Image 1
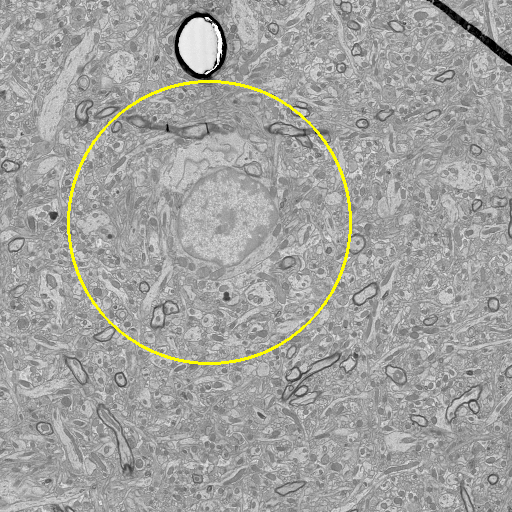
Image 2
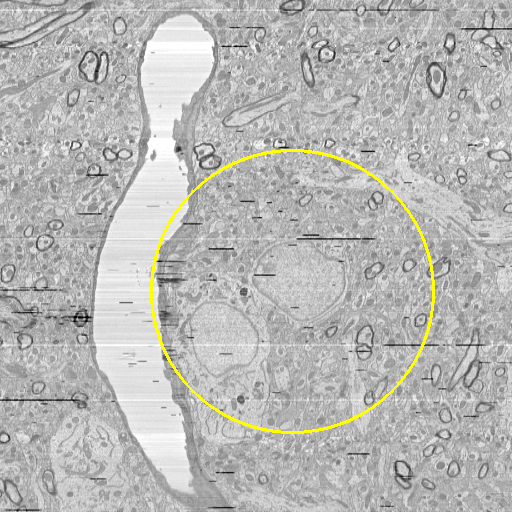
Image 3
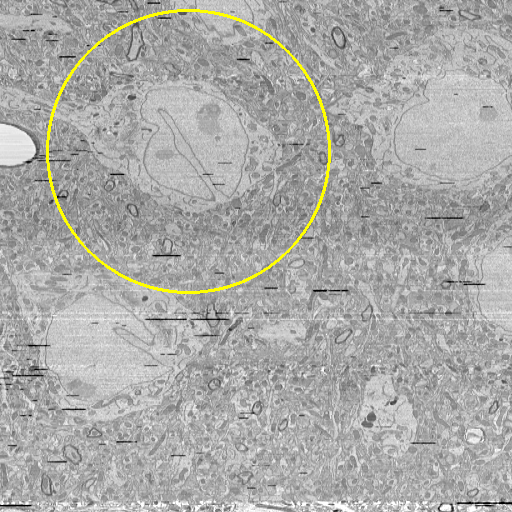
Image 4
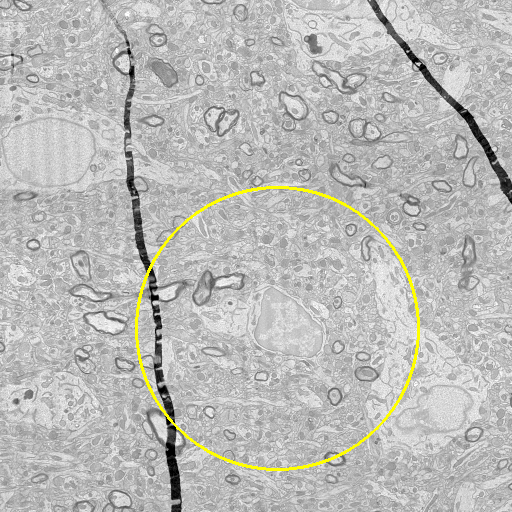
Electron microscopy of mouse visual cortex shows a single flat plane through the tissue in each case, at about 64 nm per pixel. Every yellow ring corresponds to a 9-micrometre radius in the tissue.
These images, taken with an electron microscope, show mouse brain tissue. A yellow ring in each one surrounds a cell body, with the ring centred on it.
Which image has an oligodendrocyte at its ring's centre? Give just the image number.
1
